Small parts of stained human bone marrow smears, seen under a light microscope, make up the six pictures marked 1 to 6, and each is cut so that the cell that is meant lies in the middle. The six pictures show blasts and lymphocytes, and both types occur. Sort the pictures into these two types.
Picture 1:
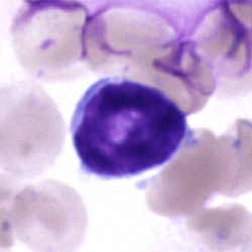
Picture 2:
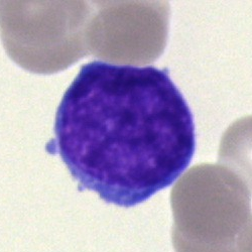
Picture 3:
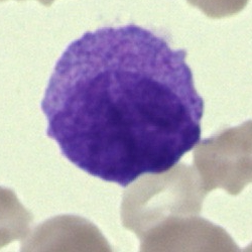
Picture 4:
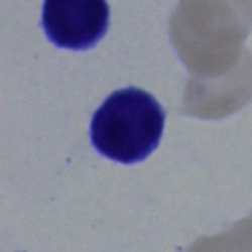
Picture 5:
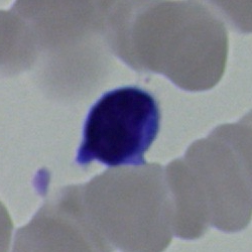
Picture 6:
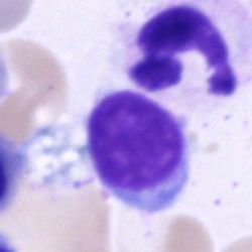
1: lymphocyte
2: blast
3: blast
4: lymphocyte
5: lymphocyte
6: lymphocyte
